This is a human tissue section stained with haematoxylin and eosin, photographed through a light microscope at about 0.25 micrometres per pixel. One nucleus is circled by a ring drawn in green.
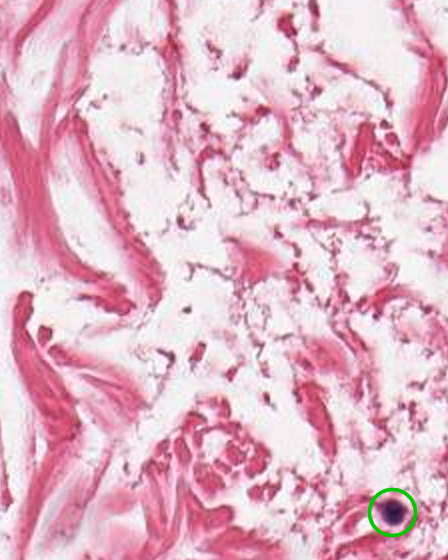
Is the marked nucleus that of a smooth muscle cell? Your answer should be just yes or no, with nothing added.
no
